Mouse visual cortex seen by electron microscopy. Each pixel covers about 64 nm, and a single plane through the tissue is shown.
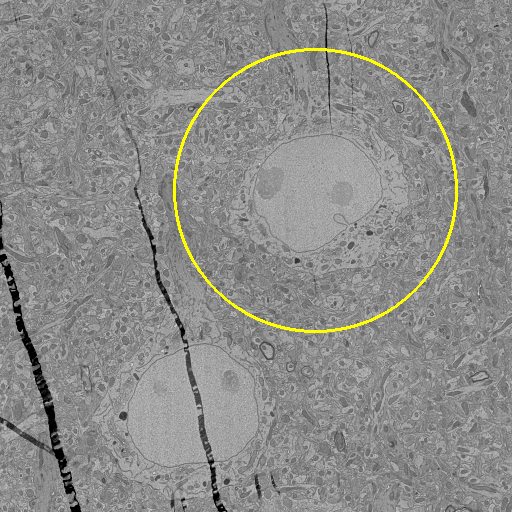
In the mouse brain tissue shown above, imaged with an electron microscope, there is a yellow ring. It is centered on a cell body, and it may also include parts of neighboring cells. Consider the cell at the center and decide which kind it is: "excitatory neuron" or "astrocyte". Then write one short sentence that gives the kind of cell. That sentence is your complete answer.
This centered cell body is that of an excitatory neuron.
